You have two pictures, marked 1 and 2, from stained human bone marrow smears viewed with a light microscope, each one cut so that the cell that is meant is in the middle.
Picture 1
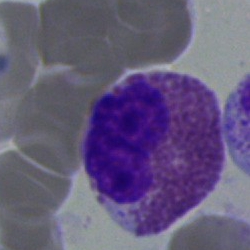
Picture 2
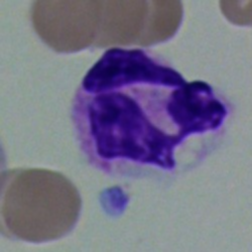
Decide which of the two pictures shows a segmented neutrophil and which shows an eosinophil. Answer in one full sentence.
Picture 1 is of an eosinophil, and picture 2 is of a segmented neutrophil.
